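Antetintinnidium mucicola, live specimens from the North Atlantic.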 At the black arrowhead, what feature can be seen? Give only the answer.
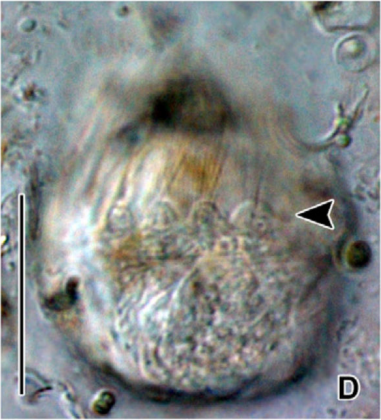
Distinct ridges between the collar membranelles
